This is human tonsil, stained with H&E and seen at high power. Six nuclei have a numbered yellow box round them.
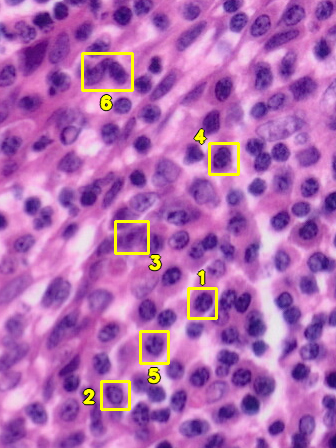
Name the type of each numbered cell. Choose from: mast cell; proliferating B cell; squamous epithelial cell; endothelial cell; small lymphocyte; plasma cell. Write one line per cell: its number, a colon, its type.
1: plasma cell
2: plasma cell
3: squamous epithelial cell
4: plasma cell
5: plasma cell
6: squamous epithelial cell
